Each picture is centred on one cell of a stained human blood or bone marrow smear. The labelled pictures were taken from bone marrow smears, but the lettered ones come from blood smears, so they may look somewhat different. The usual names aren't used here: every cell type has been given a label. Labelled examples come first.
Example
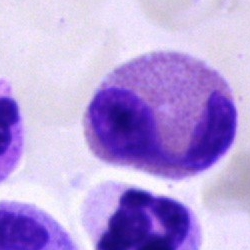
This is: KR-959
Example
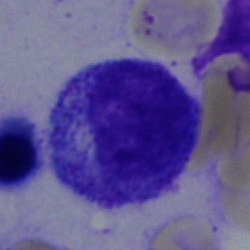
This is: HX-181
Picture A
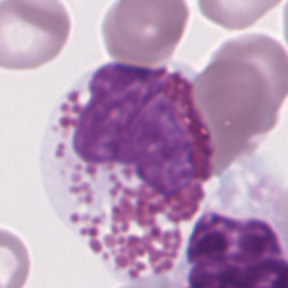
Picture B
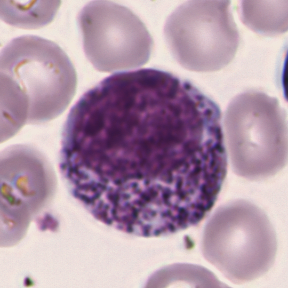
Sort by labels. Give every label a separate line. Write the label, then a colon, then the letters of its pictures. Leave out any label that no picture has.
KR-959: A
HX-181: B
